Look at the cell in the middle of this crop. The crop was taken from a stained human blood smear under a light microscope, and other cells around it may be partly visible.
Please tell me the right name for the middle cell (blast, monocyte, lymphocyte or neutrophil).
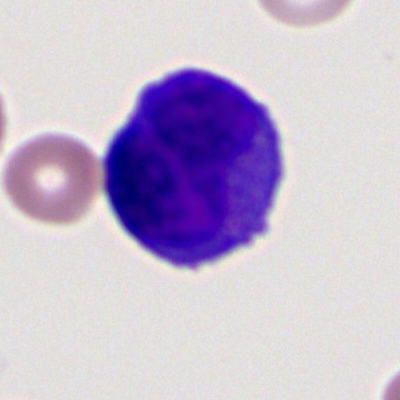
blast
